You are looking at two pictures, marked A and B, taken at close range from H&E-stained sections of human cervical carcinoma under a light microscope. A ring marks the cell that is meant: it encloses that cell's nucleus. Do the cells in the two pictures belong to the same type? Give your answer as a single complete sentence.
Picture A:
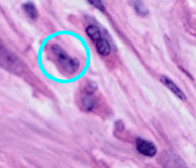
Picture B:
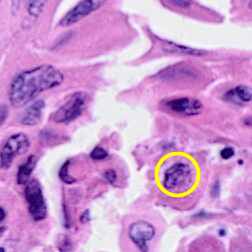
Yes, both are “macrophages or monocytes”.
